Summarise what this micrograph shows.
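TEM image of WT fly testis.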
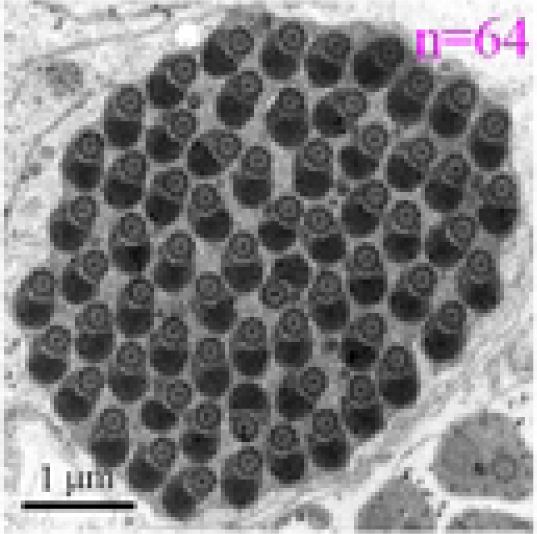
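This is a cross-section through a cyst of elongating spermatids seen by transmission electron microscopy. Many round profiles of similar size are packed tightly together into one roughly circular bundle. Each profile holds a small ring-shaped axoneme lying beside a larger dark, dense round body. The profiles are evenly spaced with little free cytoplasm between them, and the bundle is set off from the surrounding tissue at its edge.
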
